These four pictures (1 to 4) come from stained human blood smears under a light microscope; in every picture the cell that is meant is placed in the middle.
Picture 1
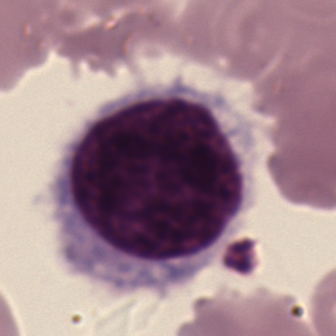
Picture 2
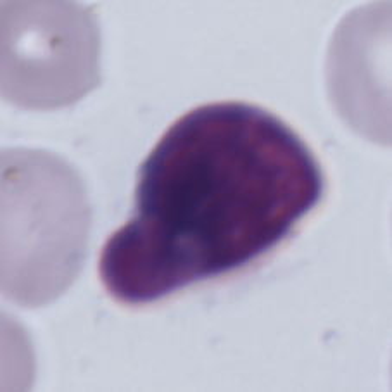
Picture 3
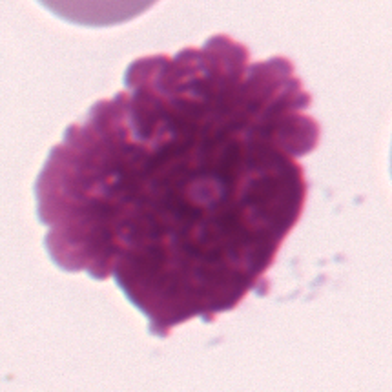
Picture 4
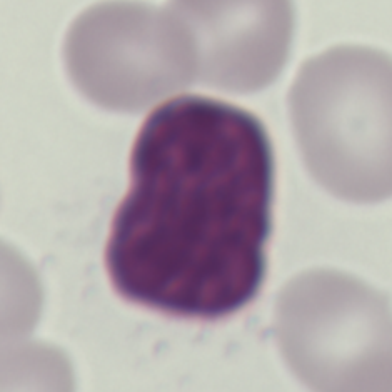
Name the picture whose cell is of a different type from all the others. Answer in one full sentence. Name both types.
The different one is picture 1; it shows a hairy cell, whereas all the others show smudge cells.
